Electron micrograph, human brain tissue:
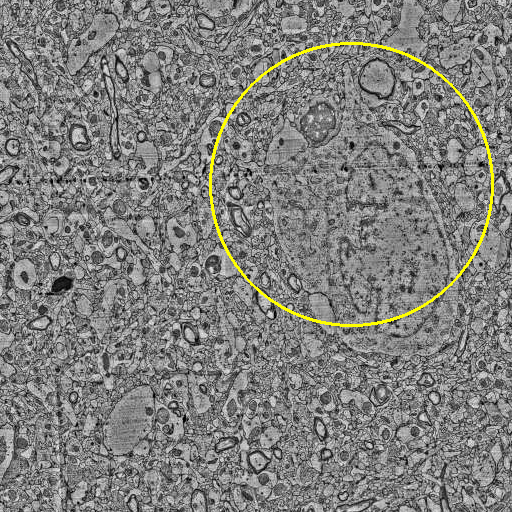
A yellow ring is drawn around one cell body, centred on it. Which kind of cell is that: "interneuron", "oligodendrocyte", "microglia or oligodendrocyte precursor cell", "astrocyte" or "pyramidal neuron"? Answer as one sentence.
It is an interneuron at the centre of the ring.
